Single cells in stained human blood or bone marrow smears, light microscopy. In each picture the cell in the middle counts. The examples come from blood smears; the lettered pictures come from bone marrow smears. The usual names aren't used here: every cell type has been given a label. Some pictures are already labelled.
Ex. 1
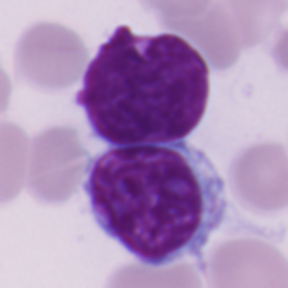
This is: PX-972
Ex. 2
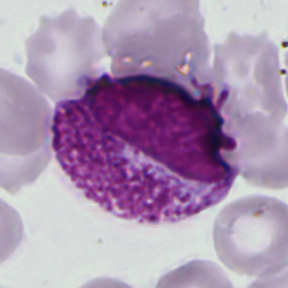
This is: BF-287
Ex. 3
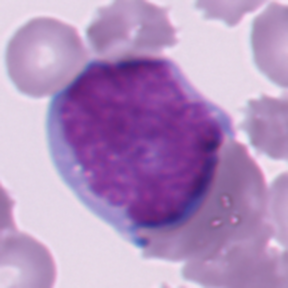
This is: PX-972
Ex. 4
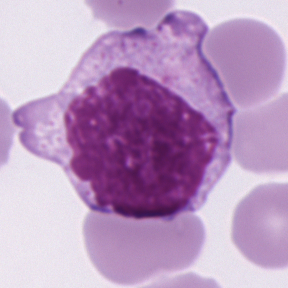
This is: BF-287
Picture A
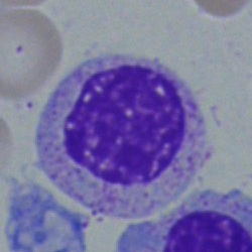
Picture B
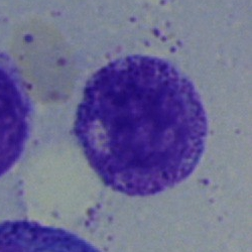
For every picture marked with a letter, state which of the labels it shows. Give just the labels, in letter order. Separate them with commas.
BF-287, BF-287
